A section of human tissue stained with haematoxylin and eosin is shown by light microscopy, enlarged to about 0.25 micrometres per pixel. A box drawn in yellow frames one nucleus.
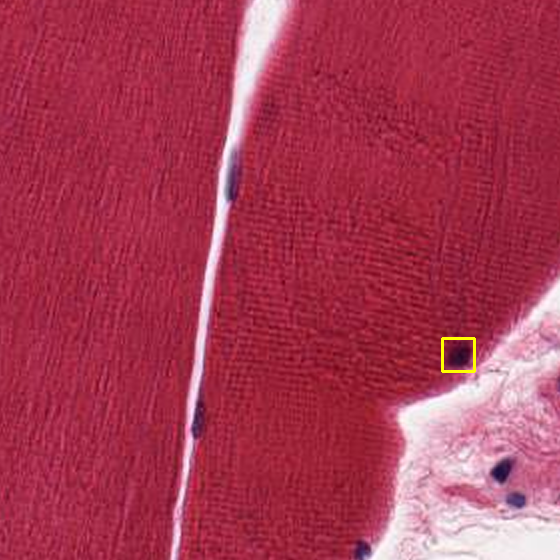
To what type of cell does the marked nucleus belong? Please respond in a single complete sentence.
The marked nucleus belongs, in this picture, to a skeletal muscle fibre.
